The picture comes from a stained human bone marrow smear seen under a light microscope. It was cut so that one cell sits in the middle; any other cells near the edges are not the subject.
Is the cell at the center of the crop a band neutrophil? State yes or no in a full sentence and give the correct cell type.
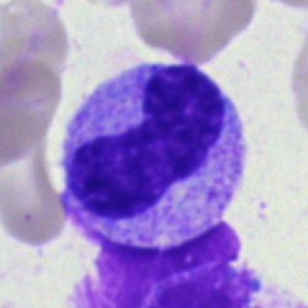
Yes, the central cell of this crop corresponds to a band neutrophil.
